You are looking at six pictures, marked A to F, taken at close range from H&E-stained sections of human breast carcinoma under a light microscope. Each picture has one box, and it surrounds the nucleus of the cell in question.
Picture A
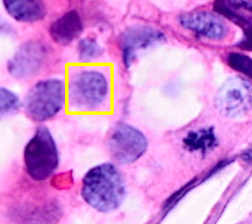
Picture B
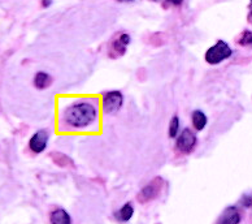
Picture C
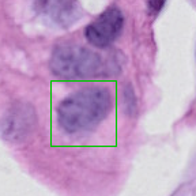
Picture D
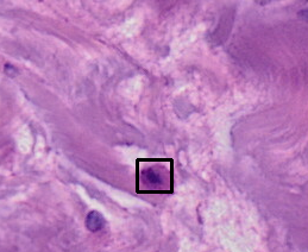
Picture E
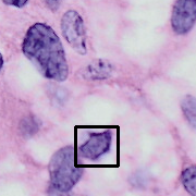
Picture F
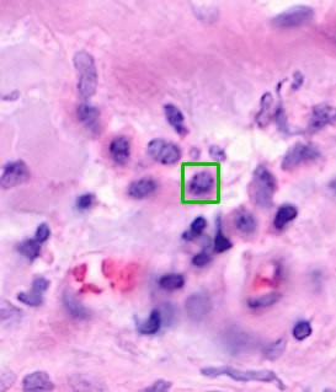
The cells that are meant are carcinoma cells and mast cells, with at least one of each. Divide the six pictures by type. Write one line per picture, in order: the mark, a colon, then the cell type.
A: carcinoma cell
B: mast cell
C: carcinoma cell
D: mast cell
E: carcinoma cell
F: mast cell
